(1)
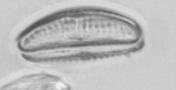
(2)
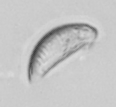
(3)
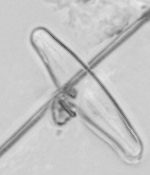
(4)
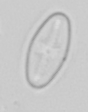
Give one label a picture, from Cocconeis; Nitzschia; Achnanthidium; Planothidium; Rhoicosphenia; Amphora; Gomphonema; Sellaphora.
1. Amphora
2. Amphora
3. Achnanthidium
4. Sellaphora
